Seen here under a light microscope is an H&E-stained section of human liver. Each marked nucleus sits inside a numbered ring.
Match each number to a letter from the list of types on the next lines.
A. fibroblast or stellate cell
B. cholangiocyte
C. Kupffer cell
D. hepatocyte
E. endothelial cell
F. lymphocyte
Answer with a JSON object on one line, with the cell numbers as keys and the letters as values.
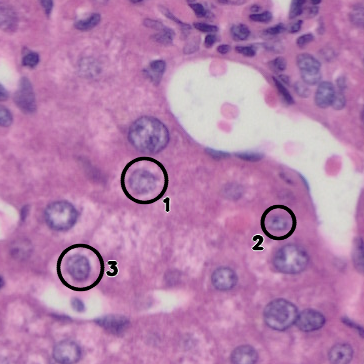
{"1": "D", "2": "B", "3": "D"}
